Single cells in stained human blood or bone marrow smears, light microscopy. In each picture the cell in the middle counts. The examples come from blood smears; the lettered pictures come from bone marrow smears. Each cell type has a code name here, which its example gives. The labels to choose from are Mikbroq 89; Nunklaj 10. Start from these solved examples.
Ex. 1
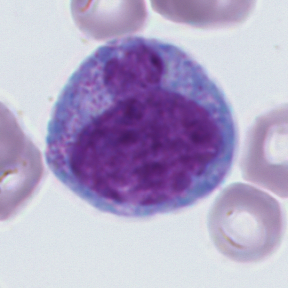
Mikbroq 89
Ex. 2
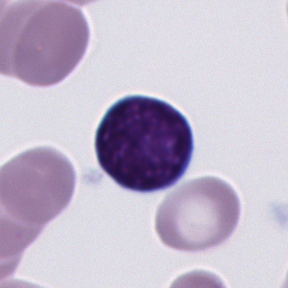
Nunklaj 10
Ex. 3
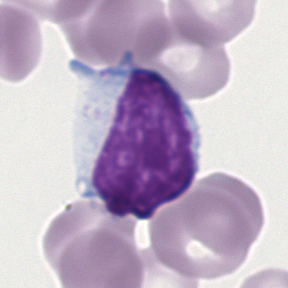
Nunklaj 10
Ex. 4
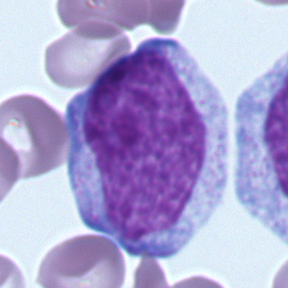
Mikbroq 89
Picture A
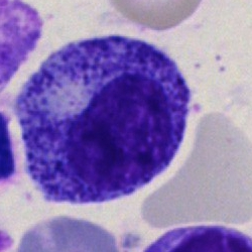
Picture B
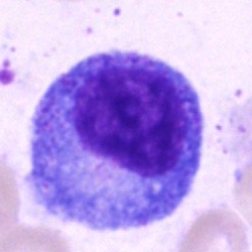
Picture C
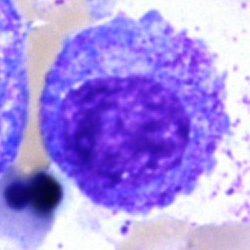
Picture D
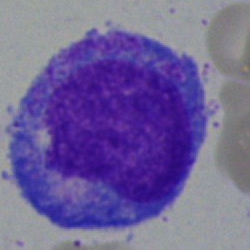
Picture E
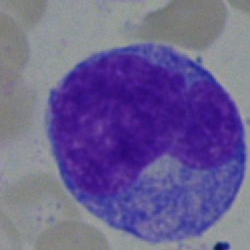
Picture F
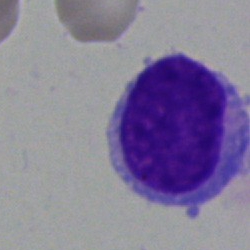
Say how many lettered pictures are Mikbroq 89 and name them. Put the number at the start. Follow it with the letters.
5, namely A, B, C, D, E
